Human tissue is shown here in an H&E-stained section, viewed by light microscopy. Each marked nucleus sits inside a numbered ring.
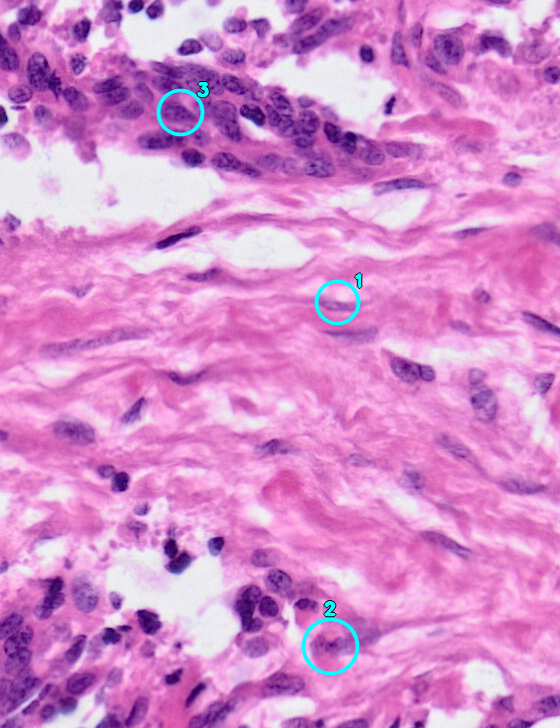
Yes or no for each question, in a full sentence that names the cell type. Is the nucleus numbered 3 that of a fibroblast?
No, the cell identified by number 3 is a carcinoma cell, not a fibroblast.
